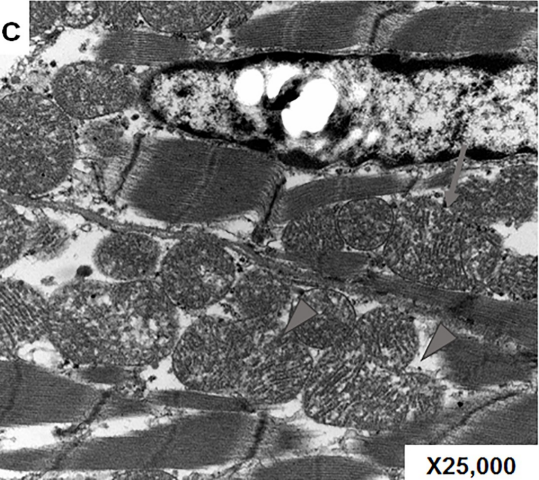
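This high-magnification electron micrograph of heart muscle shows damaged mitochondria lying between bundles of myofibrils. The myofibrils show striated cross-banding, but are separated by wide pale spaces. Several mitochondria have irregular outlines, with clefts splitting into them and disrupted cristae. An elongated nucleus with dark rim and pale, vacuolated interior lies at the top.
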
